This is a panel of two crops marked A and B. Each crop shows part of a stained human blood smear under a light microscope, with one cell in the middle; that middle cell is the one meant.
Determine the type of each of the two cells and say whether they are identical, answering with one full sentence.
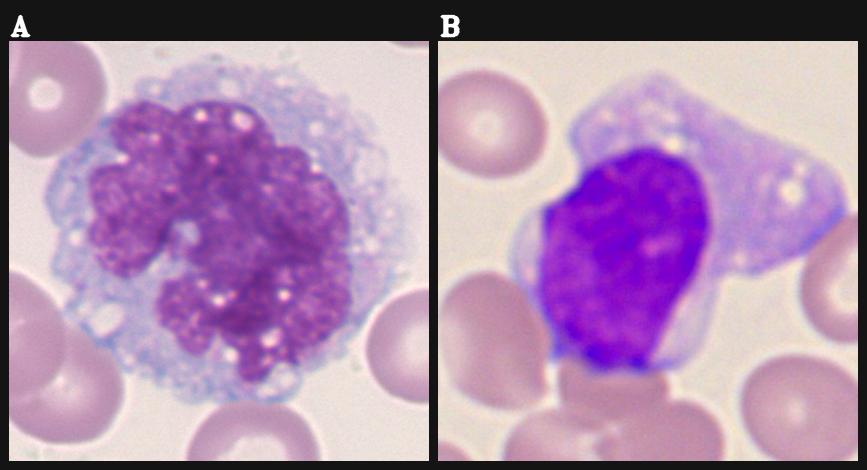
Yes, both crops depict monocytes at the centre.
